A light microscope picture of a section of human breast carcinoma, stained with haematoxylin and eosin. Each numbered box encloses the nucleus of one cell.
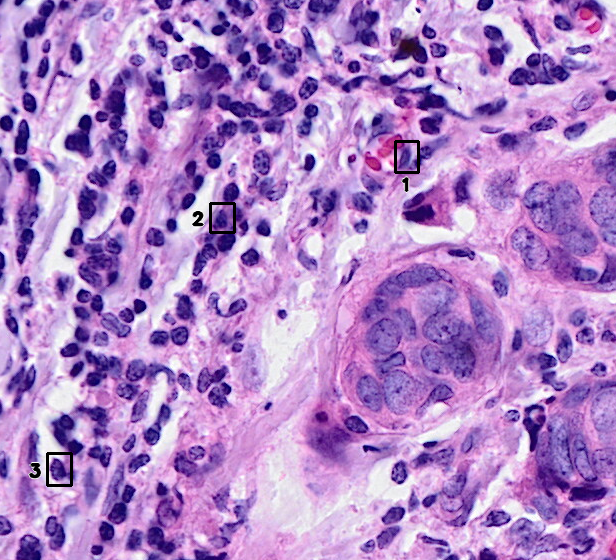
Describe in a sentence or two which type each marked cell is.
Cell 1 is an endothelial cell, cell 2 is a lymphocyte and cell 3 is a lymphocyte.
